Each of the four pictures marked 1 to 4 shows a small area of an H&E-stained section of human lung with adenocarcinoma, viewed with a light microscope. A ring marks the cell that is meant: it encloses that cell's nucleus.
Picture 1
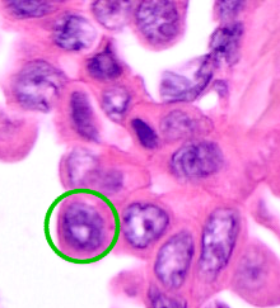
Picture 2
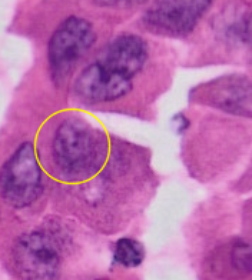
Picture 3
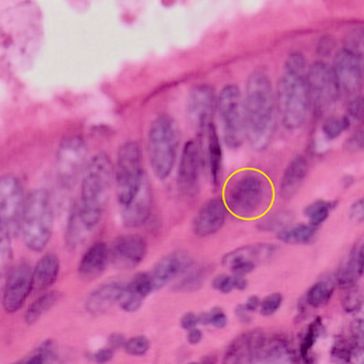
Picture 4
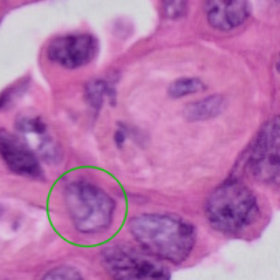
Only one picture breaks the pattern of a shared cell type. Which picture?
3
